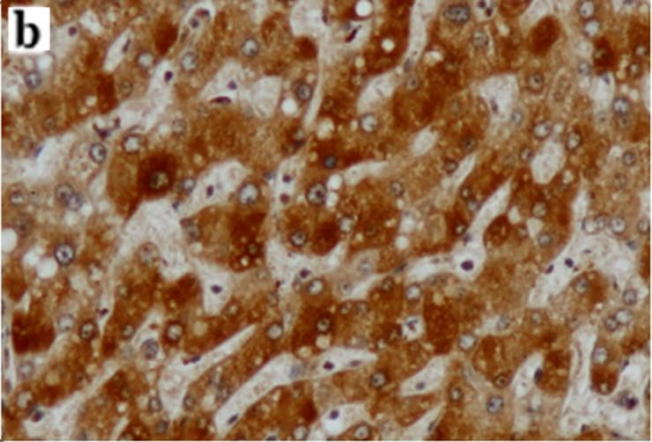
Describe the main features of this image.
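These are hepatocytes arranged in cords, with pale sinusoidal spaces running between them. Their cytoplasm is stained brown with an intensity that differs from cell to cell, and each has a round, pale blue nucleus with a distinct nucleolus; a few small clear vacuoles sit in some cells. The flattened cells lining the sinusoids have small, dark, elongated nuclei and stay unstained.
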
